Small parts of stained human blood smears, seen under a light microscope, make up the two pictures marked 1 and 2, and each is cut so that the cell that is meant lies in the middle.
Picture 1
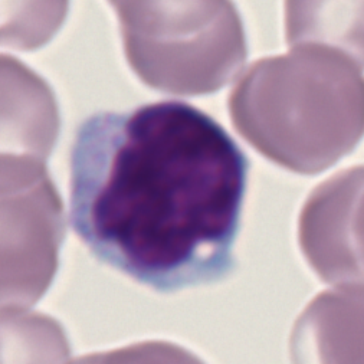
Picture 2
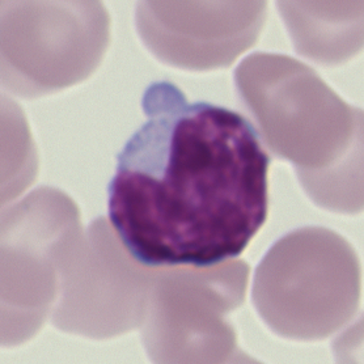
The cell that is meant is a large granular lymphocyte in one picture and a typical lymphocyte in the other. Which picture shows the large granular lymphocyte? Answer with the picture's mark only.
2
